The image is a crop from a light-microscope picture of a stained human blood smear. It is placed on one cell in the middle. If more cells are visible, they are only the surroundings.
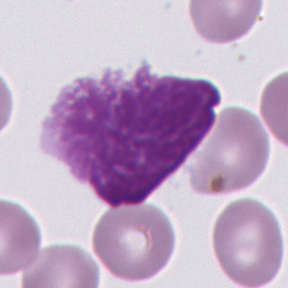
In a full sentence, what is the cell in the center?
The central cell in this smear crop is a smudge cell.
